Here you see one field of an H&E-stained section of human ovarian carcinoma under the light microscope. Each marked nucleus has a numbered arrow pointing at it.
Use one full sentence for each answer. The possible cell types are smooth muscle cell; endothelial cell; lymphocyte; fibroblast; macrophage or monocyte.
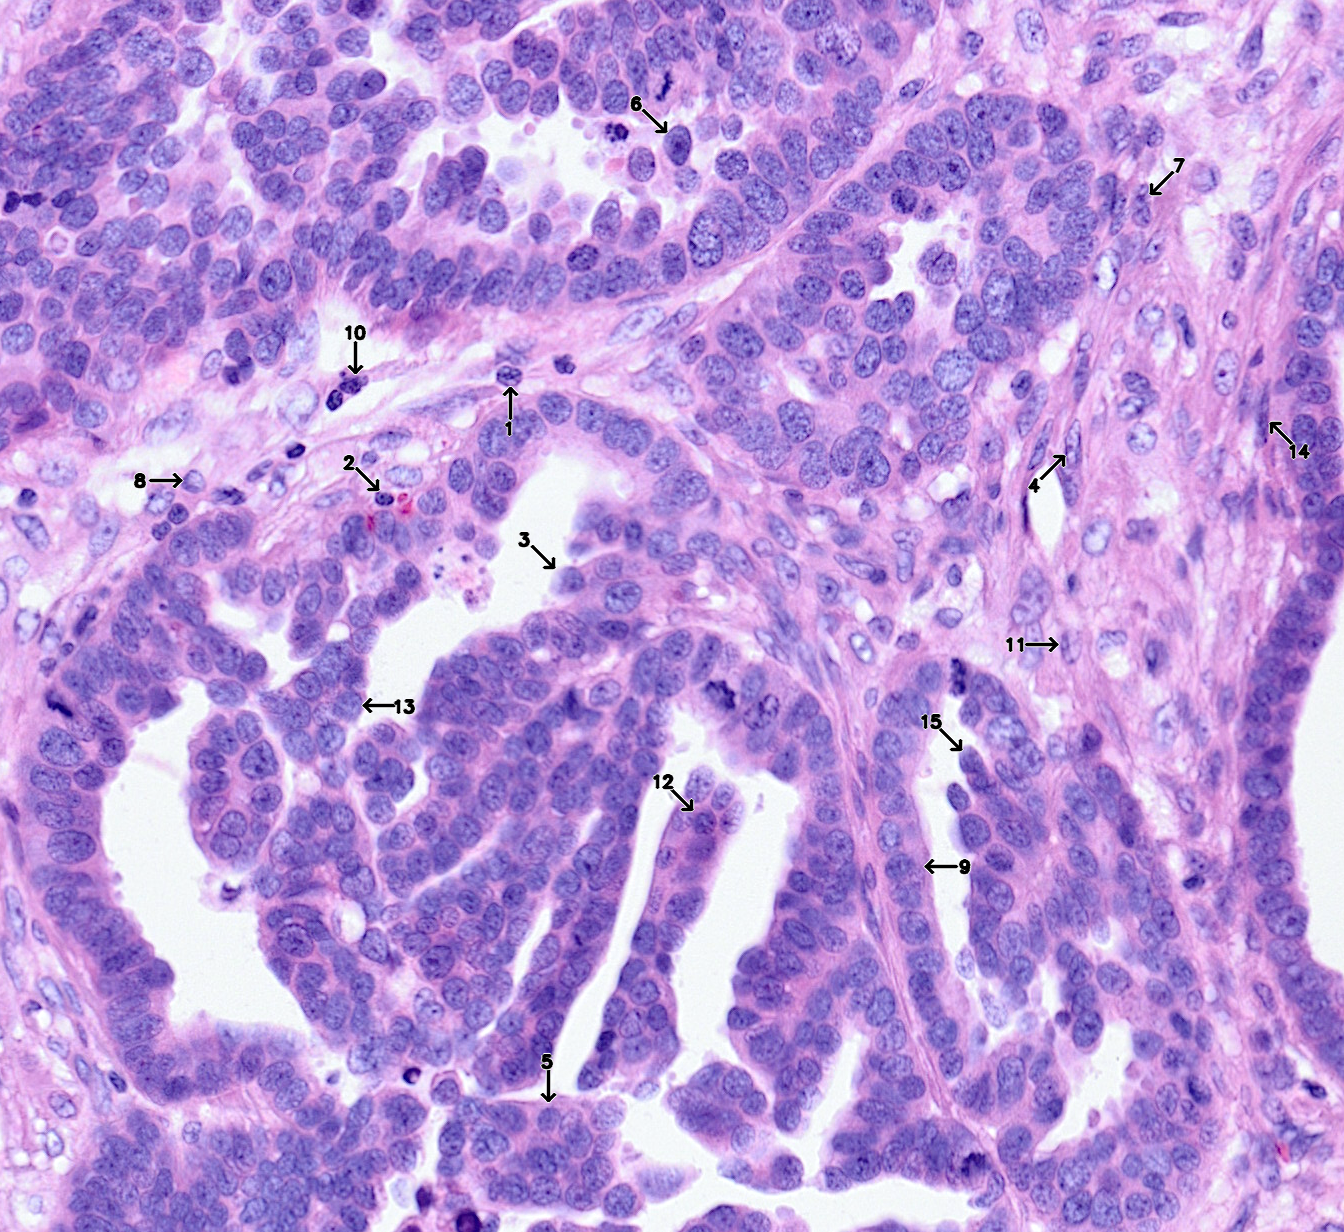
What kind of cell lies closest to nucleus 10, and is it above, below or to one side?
Just below and to the left of nucleus 10 lies the nearest nucleus, which belongs to a lymphocyte.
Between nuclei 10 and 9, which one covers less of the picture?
Nucleus 10 covers less area, with nucleus 9 about 2.5 times as large.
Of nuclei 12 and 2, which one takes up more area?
Of the two, number 12 is bigger and takes up about 2 times the area of number 2.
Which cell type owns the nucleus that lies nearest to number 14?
It is a fibroblast whose nucleus is nearest to number 14.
